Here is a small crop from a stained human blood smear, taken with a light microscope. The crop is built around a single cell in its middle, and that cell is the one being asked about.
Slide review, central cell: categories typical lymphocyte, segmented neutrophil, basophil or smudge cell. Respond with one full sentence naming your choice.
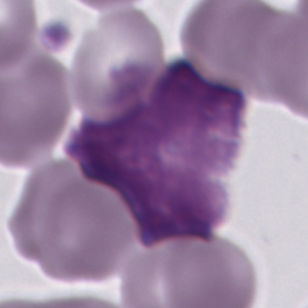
Standing at the centre of this crop is a smudge cell.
